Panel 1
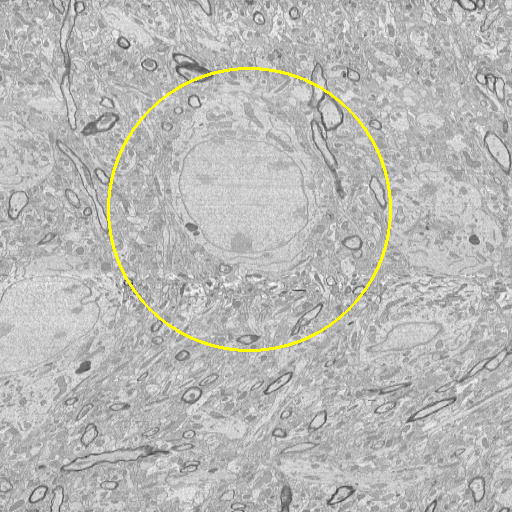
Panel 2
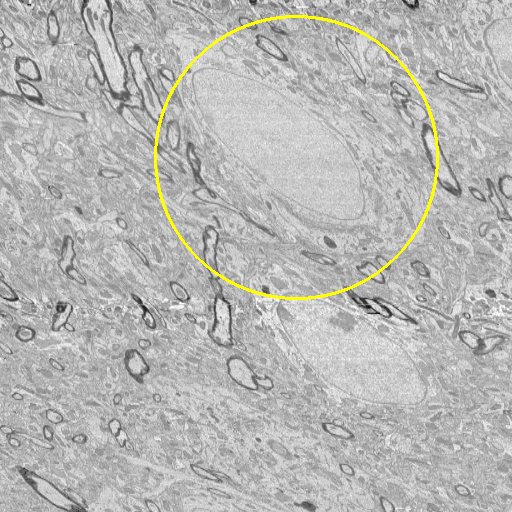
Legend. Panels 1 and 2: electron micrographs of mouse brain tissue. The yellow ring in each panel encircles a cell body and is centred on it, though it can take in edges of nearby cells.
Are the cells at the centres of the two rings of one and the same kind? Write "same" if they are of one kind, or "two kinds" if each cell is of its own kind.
same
